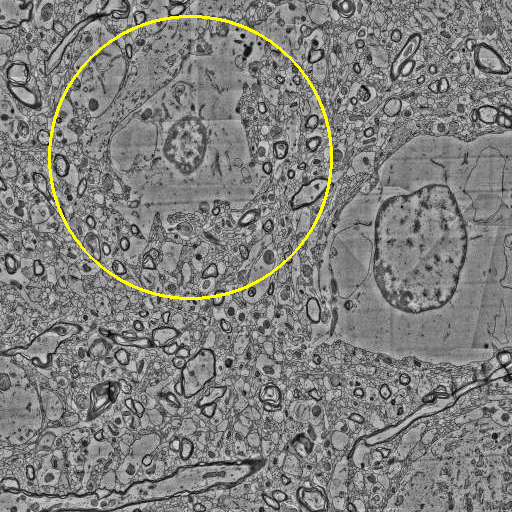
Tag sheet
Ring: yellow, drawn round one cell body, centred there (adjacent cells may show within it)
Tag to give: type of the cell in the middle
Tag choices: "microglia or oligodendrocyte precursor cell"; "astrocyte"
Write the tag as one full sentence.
I tag the cell centred in the yellow ring as an astrocyte in this picture.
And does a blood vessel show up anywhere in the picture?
Yes, a blood vessel is present in this picture.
